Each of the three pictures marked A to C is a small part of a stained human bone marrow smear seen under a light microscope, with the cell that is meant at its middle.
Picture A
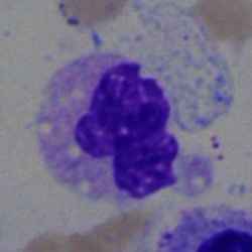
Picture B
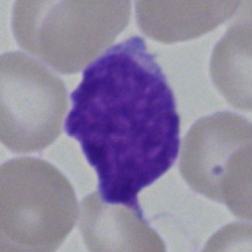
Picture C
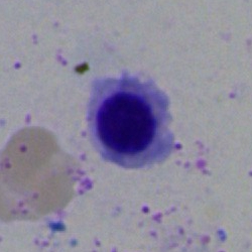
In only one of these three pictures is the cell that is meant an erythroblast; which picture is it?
C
